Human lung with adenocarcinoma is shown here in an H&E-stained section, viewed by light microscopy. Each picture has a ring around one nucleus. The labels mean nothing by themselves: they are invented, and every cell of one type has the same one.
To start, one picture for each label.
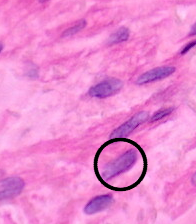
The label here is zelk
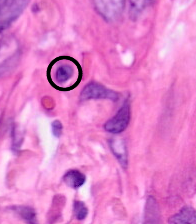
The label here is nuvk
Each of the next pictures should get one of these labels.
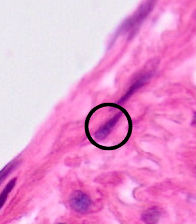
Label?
zelk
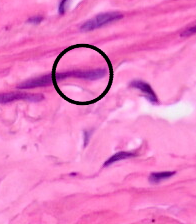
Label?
zelk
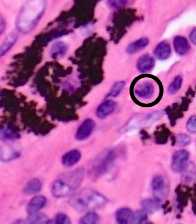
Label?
nuvk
